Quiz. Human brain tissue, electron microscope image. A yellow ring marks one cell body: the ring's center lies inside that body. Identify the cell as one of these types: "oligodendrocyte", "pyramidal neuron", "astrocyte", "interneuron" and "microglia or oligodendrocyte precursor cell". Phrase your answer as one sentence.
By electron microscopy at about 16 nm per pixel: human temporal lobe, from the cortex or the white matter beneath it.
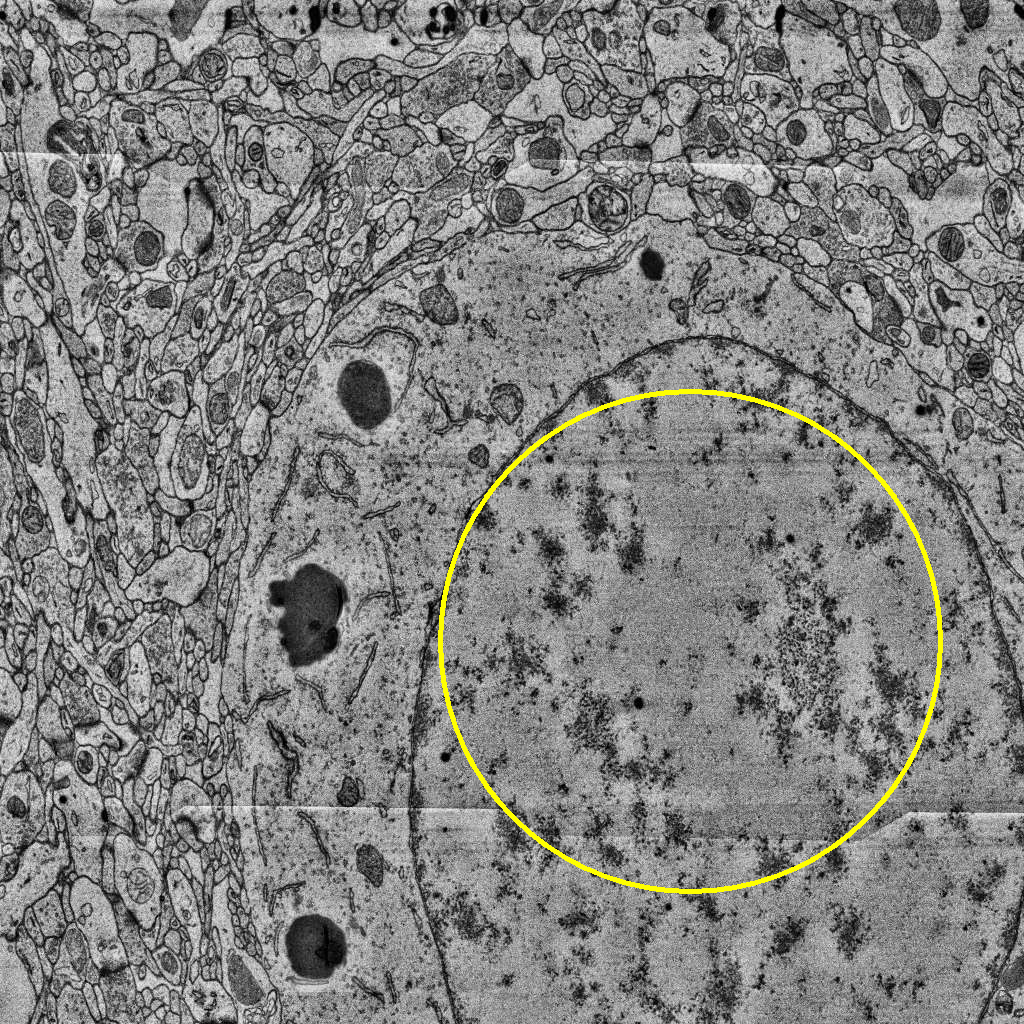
At the center of the ring sits a pyramidal neuron.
